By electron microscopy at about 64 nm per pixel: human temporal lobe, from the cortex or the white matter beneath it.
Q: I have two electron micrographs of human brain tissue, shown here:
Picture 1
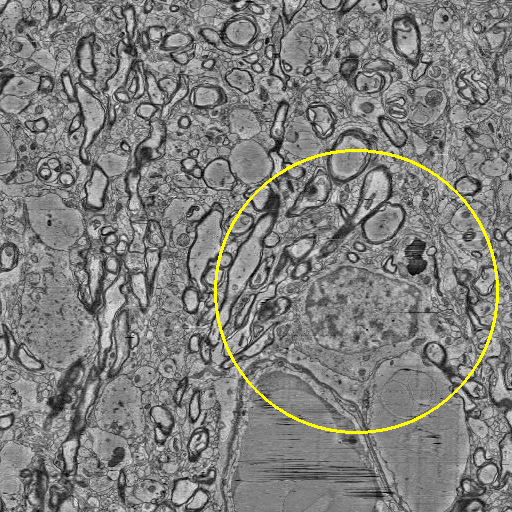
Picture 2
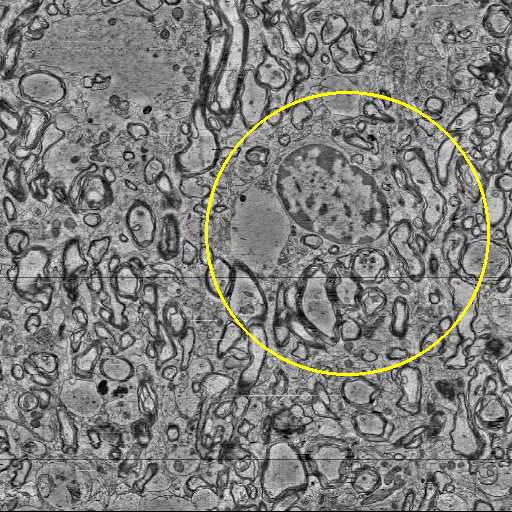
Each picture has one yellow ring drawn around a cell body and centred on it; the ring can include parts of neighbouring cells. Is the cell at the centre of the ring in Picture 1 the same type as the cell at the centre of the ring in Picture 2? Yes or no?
no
